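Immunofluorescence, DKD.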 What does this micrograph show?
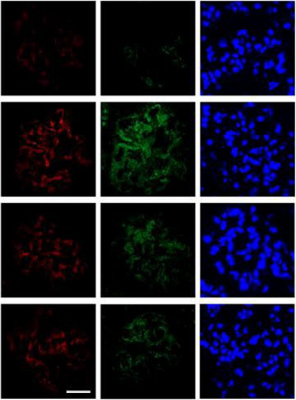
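Grid of small fluorescence images of kidney tissue, each centred on a rounded glomerular tuft. Blue nuclei are densely packed across each field.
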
